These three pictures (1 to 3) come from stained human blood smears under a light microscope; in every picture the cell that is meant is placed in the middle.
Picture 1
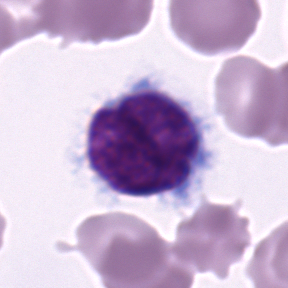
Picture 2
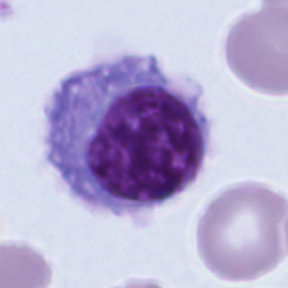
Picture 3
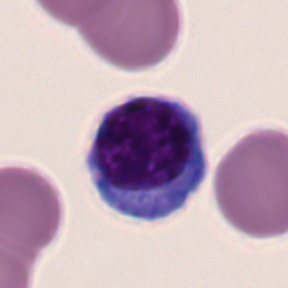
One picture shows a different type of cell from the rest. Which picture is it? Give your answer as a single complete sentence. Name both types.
Unlike the rest, which show plasma cells, picture 1 shows a hairy cell.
